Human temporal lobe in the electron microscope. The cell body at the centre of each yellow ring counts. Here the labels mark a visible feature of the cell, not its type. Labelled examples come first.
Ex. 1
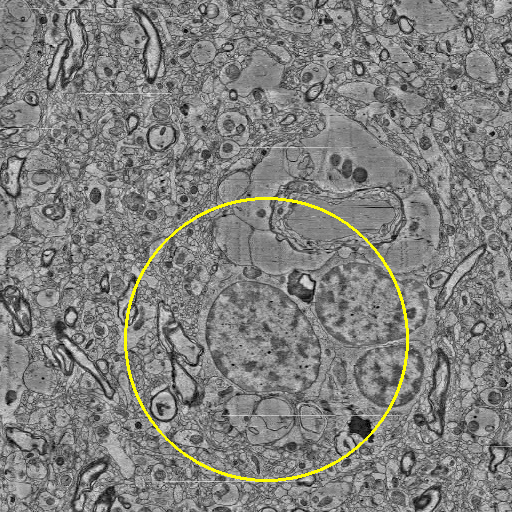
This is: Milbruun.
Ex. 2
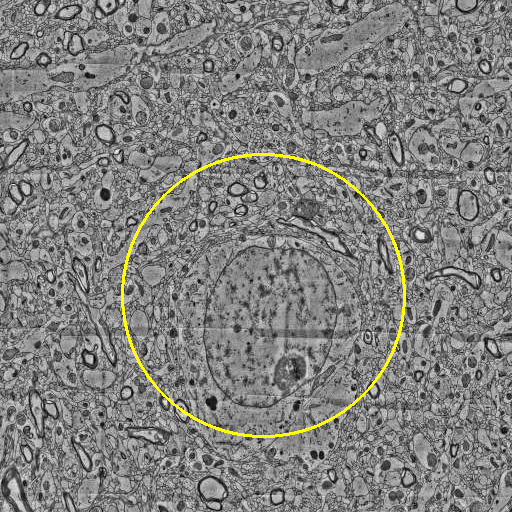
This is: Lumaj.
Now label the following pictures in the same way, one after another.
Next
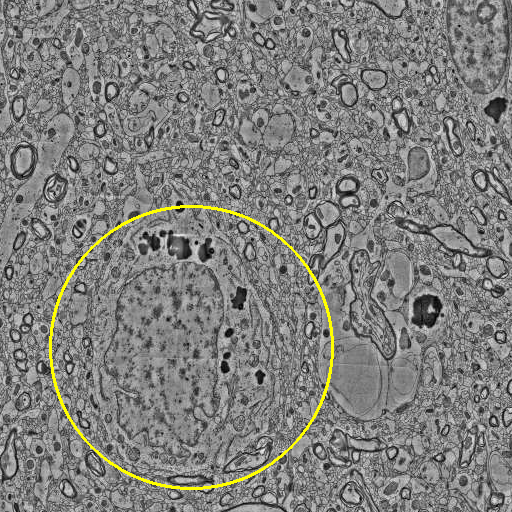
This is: Milbruun.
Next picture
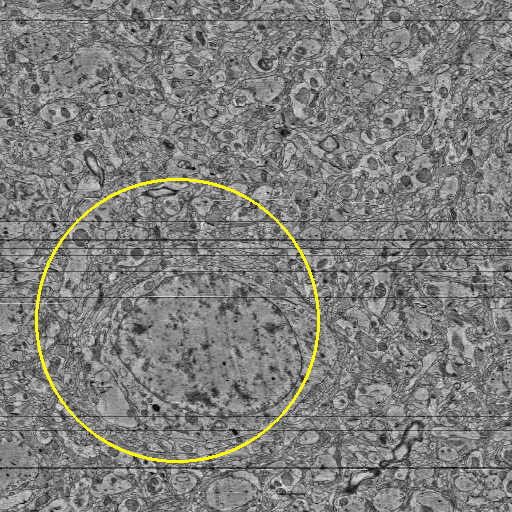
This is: Milbruun.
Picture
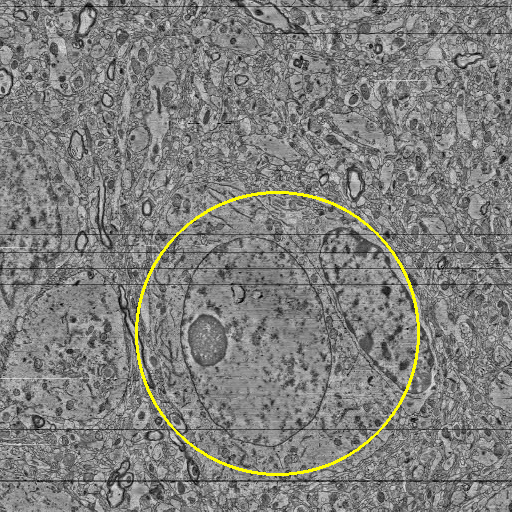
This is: Lumaj.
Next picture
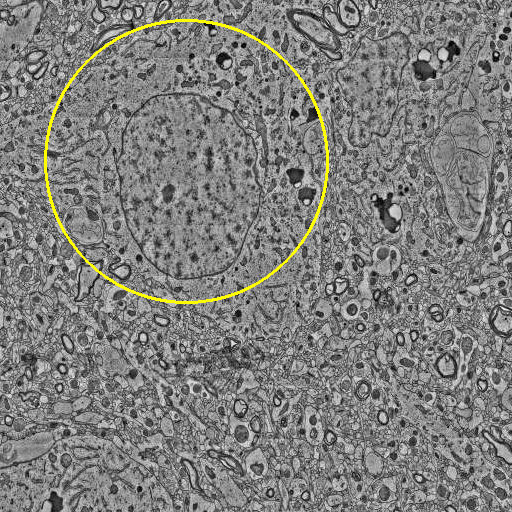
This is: Lumaj.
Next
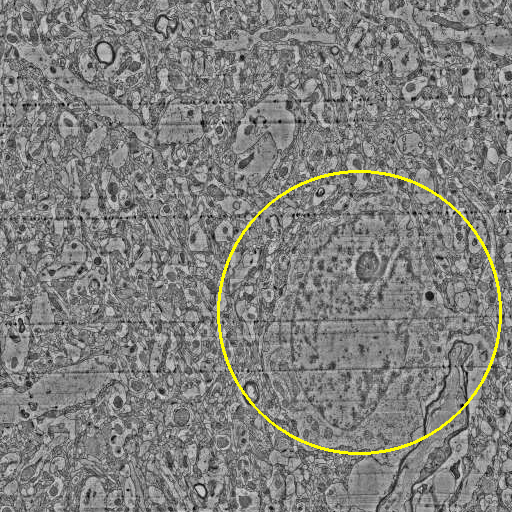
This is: Lumaj.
